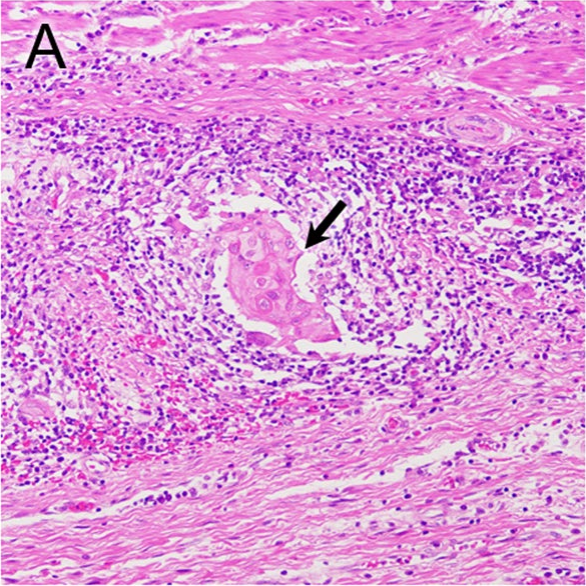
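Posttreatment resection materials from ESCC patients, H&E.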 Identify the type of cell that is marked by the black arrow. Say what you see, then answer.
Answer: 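A small cluster of large cells with abundant pink cytoplasm and large nuclei sits in a cleft at the arrow tip. The cluster is surrounded by many small dark round cells.
Conclusion: tumor cells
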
